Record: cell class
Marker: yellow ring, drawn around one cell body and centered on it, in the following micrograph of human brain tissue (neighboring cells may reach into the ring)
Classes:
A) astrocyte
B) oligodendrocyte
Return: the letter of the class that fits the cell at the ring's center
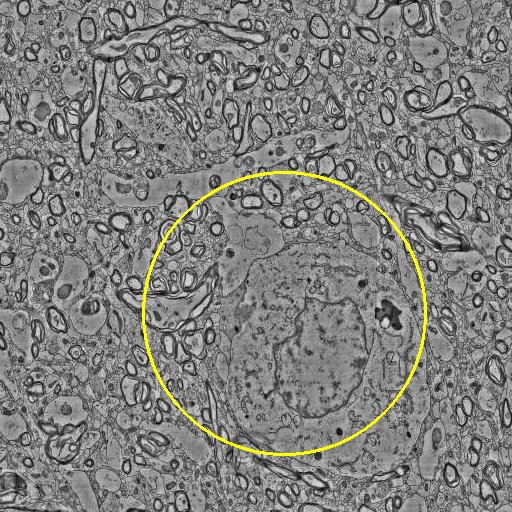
B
